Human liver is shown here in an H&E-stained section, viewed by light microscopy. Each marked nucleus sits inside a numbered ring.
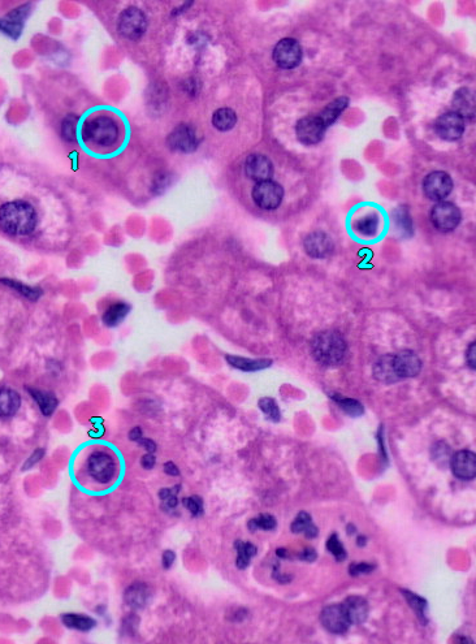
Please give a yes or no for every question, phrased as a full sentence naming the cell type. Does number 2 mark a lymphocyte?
Yes, the cell with number 2 is a lymphocyte.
